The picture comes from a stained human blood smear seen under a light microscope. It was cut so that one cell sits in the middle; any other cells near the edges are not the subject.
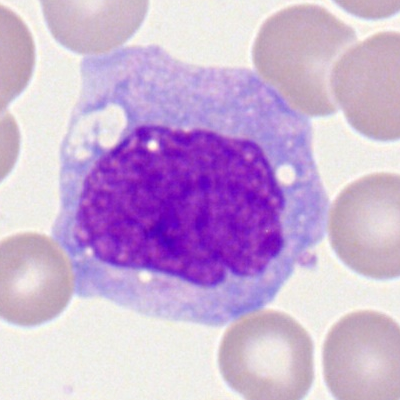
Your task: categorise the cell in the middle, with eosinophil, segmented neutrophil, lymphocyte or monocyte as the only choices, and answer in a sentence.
At the center of the crop sits a monocyte.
